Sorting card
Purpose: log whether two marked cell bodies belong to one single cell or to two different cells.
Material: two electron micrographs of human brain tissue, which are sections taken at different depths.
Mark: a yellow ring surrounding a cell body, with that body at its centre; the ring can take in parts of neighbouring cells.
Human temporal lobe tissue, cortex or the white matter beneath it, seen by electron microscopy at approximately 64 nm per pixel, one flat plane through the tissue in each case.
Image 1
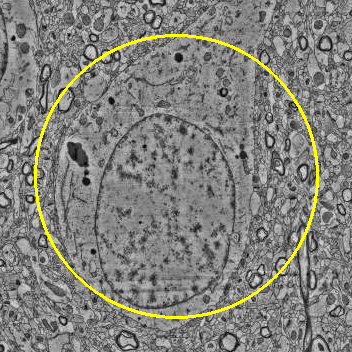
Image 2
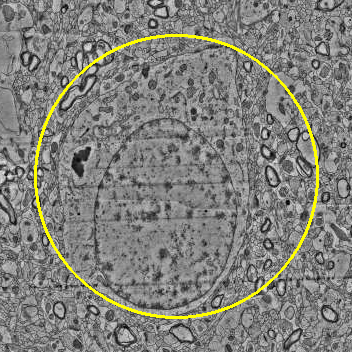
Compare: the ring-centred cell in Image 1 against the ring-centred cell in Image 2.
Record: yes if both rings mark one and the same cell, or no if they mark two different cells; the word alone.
yes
